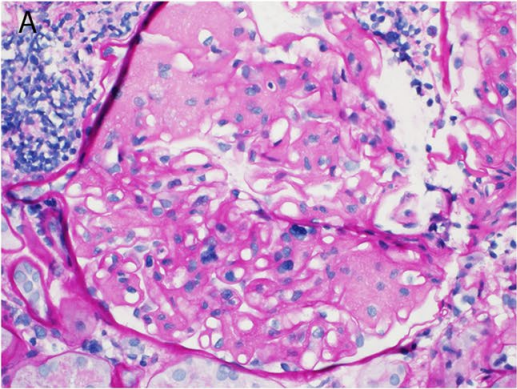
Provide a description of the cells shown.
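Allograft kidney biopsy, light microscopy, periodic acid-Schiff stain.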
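The centres of the lobules are filled with broad, smooth, pale pink material that widens the mesangium far beyond normal. Scattered oval nuclei sit within and around this material, somewhat more numerous than usual in places. Open capillary loops are squeezed to the edges of the lobules, and Bowman's capsule surrounds the tuft as a dark magenta line. A dense cluster of small blue inflammatory cells lies in the interstitium at the upper left.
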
